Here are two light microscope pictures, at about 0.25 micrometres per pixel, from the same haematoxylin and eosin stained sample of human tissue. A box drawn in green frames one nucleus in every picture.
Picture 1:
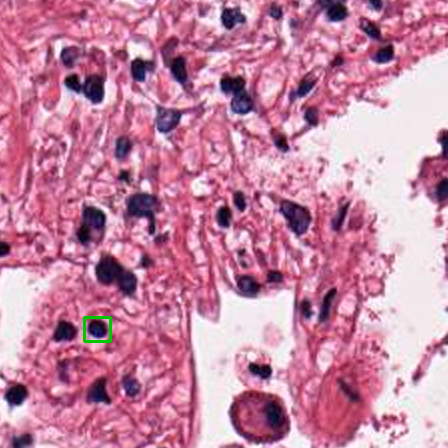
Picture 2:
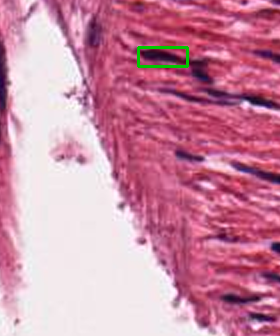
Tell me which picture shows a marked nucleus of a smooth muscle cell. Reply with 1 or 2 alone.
2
